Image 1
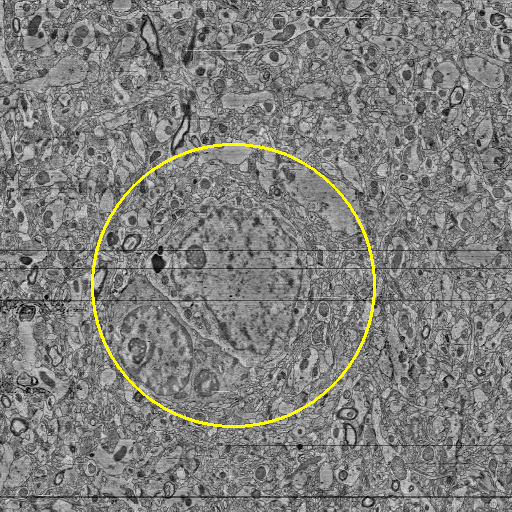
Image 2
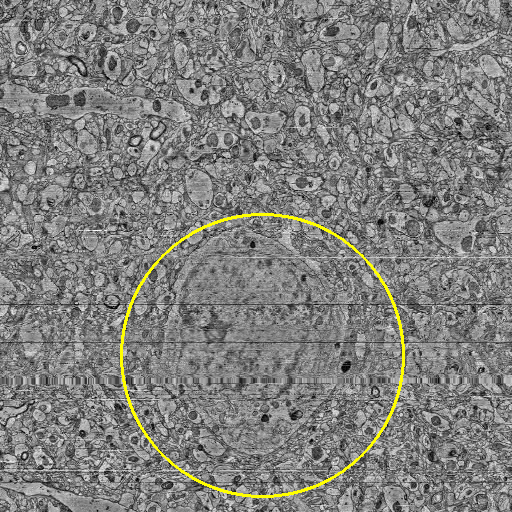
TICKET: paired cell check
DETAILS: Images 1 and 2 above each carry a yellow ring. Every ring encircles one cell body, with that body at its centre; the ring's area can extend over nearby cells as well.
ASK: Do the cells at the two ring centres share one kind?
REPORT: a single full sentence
Yes, the ring-centre cells of Images 1 and 2 belong to a single kind.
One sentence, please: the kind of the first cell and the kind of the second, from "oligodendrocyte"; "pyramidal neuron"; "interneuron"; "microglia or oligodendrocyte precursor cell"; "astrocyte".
In each of the two pictures, the ringed cell is an interneuron.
